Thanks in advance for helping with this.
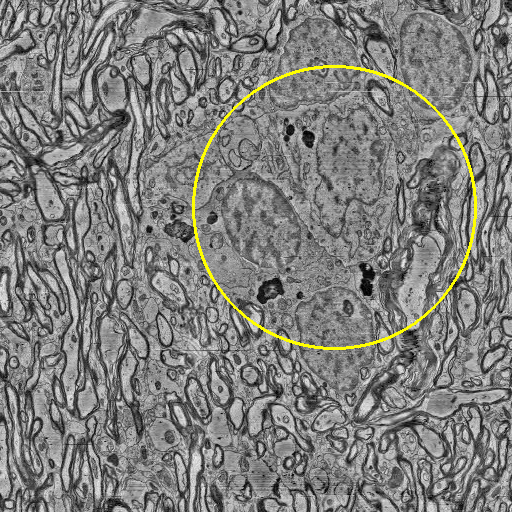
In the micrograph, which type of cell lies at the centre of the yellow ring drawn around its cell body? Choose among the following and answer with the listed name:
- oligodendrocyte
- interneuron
interneuron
